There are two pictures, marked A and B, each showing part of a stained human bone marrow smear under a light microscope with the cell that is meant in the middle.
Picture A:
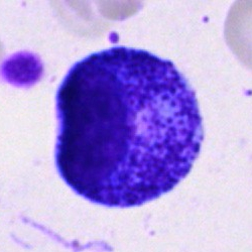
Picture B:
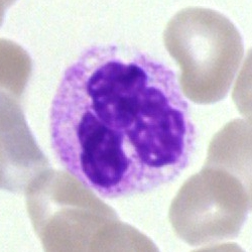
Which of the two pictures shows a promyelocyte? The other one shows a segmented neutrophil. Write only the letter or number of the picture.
A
